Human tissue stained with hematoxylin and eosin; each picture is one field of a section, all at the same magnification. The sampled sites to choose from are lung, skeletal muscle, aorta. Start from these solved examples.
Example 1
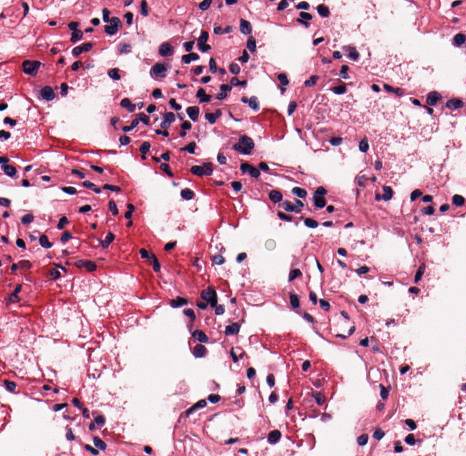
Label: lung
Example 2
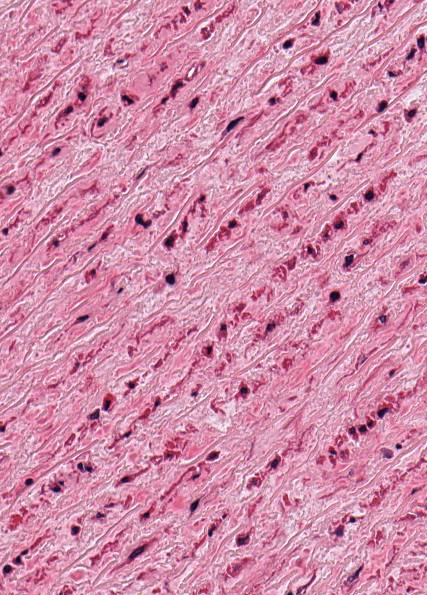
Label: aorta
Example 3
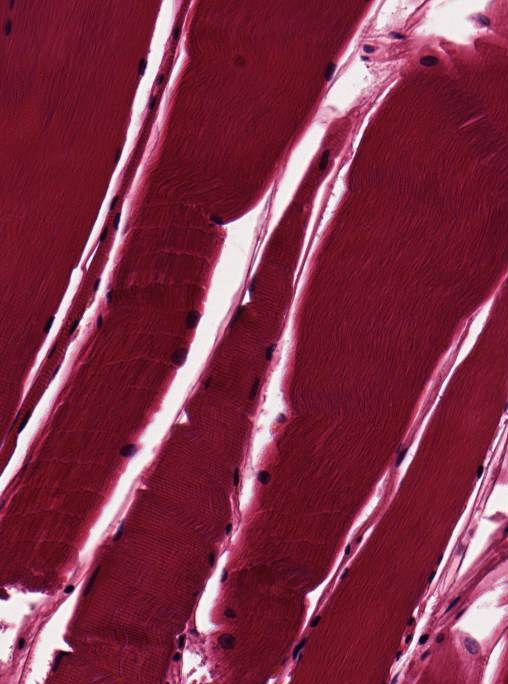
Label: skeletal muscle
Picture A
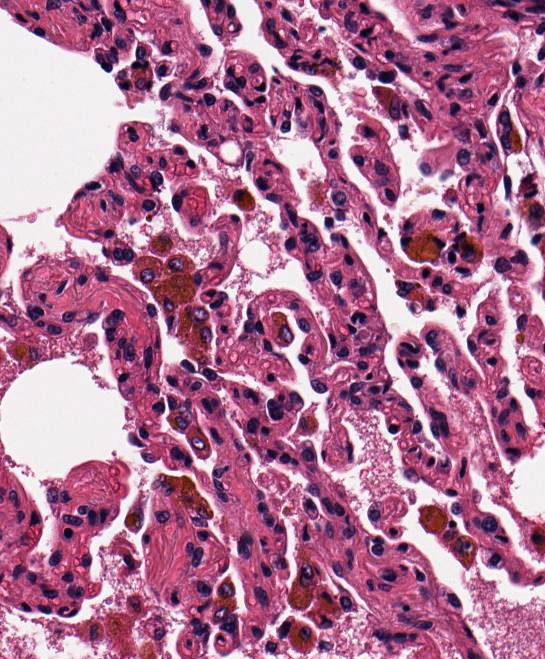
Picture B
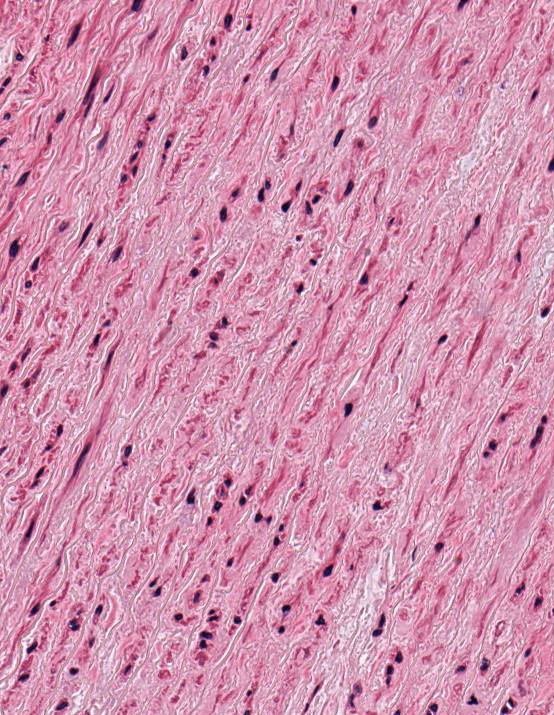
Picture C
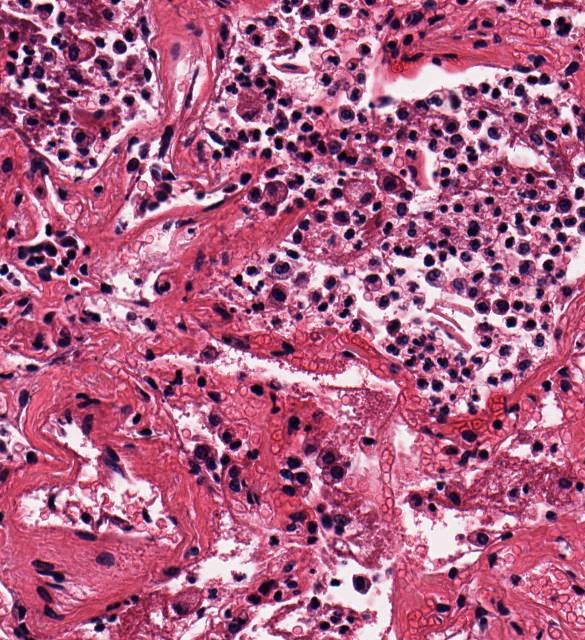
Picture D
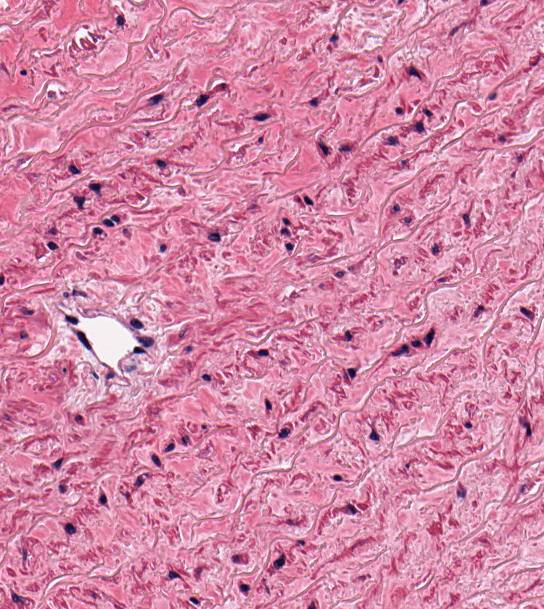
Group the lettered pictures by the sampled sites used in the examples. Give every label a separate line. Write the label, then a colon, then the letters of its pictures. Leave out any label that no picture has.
lung: A, C
aorta: B, D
